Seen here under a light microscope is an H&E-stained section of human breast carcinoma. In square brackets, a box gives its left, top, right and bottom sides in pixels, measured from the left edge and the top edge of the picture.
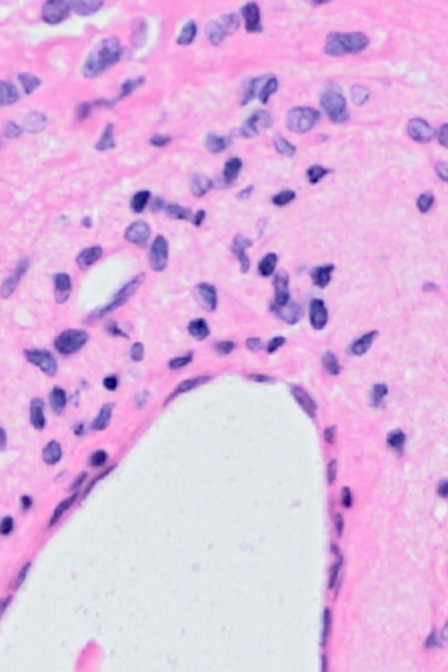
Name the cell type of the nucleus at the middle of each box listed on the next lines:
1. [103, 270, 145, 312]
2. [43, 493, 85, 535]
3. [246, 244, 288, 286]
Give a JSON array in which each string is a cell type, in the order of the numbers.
["endothelial cell", "endothelial cell", "lymphocyte"]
